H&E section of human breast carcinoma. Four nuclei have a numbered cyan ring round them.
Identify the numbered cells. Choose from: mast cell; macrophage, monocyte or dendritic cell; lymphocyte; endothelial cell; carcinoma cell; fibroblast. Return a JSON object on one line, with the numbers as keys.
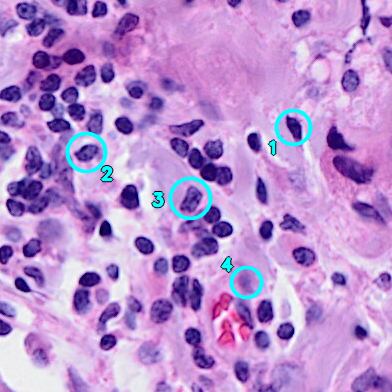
{"1": "lymphocyte", "2": "lymphocyte", "3": "lymphocyte", "4": "endothelial cell"}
